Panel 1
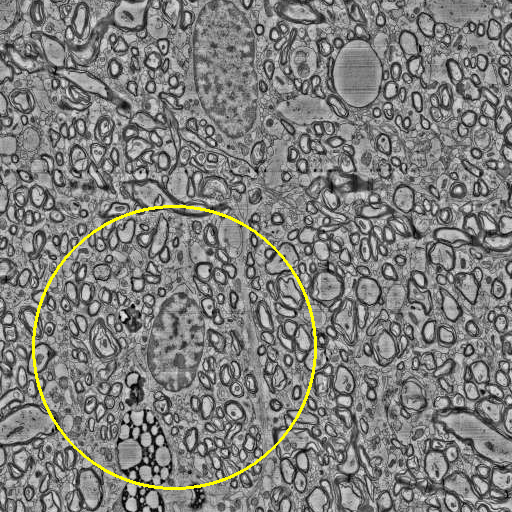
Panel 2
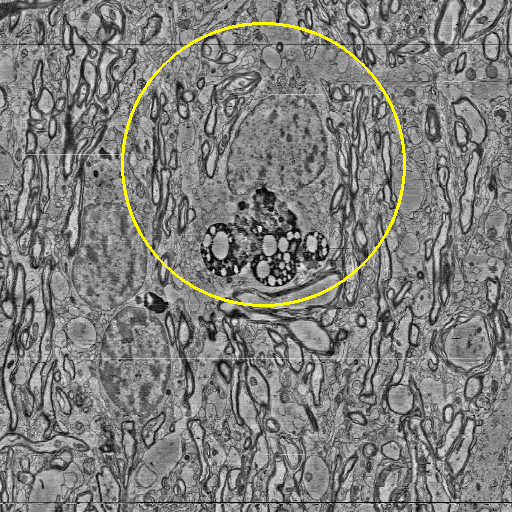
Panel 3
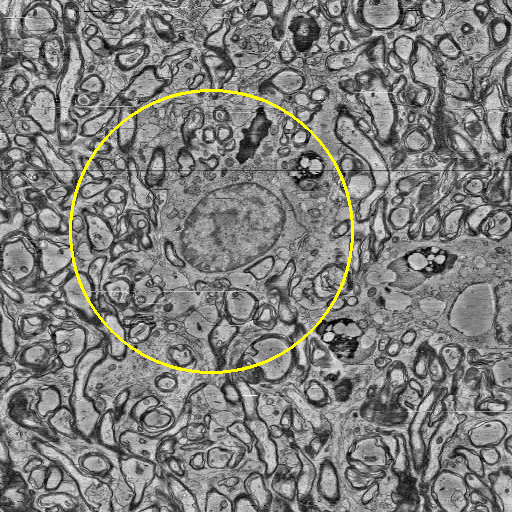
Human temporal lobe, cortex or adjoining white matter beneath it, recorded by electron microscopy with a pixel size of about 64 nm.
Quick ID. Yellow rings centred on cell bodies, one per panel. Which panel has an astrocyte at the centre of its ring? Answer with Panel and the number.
Panel 2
